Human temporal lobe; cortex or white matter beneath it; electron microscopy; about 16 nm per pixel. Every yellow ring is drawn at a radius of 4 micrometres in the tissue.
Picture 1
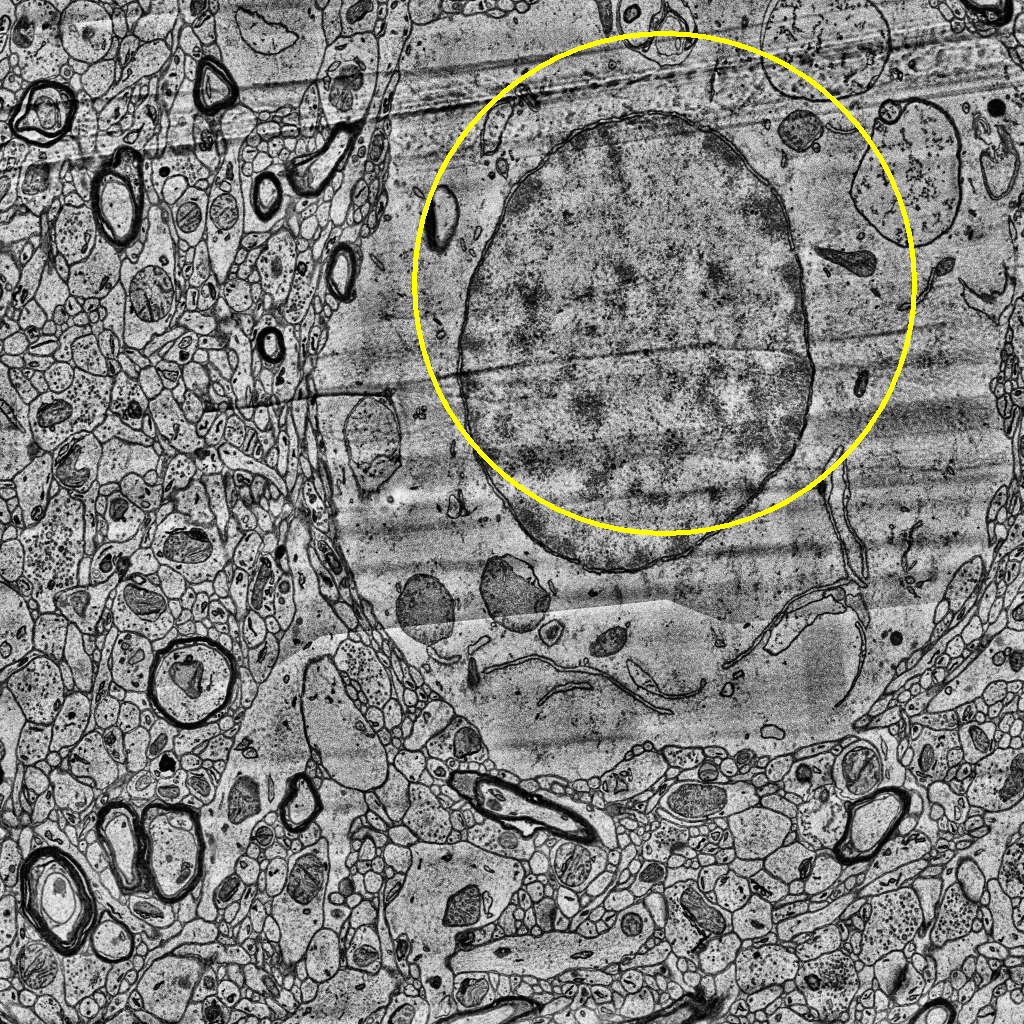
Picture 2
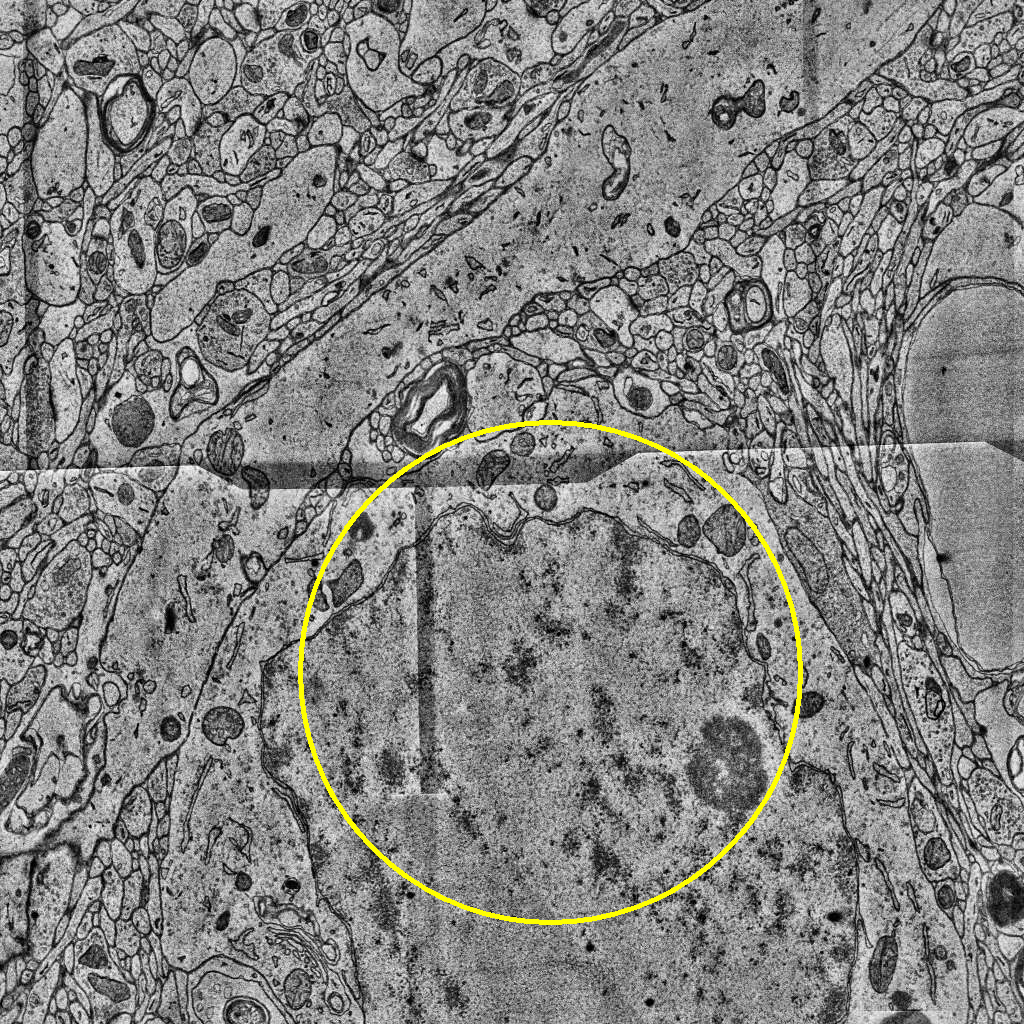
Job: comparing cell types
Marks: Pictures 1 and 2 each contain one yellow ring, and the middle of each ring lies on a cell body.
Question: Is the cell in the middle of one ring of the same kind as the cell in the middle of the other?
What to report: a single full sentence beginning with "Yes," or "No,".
No, the cell at the ring centre in Picture 1 and its partner in Picture 2 are of two kinds.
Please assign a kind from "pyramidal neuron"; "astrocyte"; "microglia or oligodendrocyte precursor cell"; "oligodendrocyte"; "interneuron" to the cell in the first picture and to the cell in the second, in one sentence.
At the centre of the first ring sits an astrocyte, and at the centre of the second sits an interneuron.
